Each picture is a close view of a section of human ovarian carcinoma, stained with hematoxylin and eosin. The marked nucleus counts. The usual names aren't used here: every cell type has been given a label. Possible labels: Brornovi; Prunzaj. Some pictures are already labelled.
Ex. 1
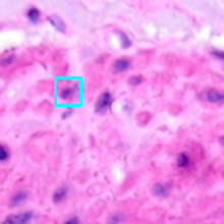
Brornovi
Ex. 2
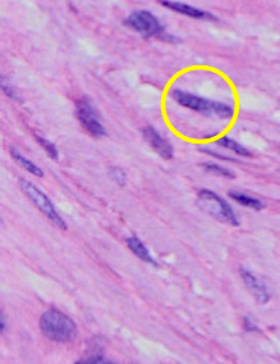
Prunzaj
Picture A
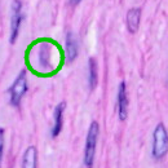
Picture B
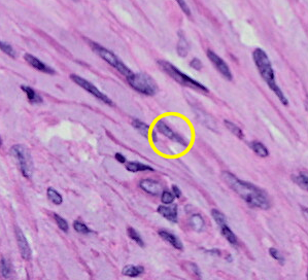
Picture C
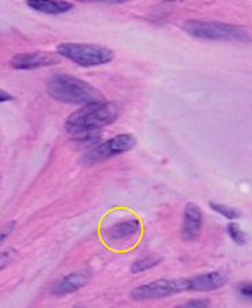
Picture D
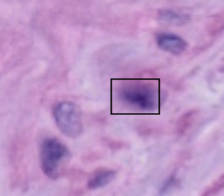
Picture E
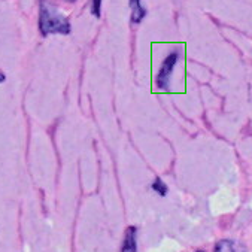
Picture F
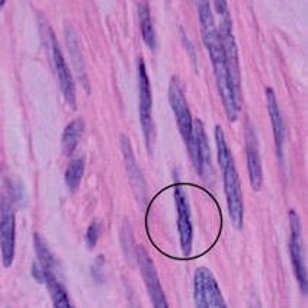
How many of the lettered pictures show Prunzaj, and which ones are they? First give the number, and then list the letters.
Count: 3 (A, B, E)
